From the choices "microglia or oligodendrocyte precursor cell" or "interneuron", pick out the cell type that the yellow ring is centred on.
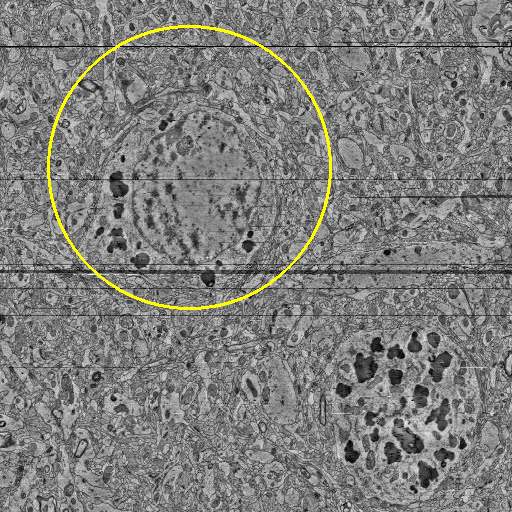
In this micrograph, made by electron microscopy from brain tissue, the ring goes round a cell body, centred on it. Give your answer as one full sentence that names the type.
The yellow ring is centred on an interneuron, whose cell body it encircles in the picture.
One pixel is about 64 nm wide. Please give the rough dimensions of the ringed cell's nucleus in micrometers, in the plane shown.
About 10 micrometres by about 8 micrometres in this plane.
